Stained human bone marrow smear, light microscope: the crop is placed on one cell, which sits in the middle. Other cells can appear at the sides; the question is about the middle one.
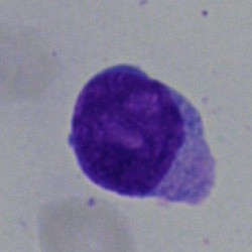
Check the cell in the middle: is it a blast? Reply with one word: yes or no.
yes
